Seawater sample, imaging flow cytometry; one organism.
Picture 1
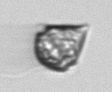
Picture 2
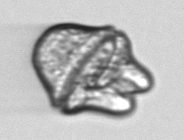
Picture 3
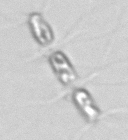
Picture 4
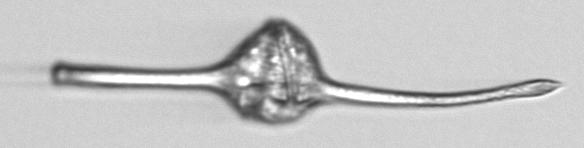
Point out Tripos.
That is picture 4.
